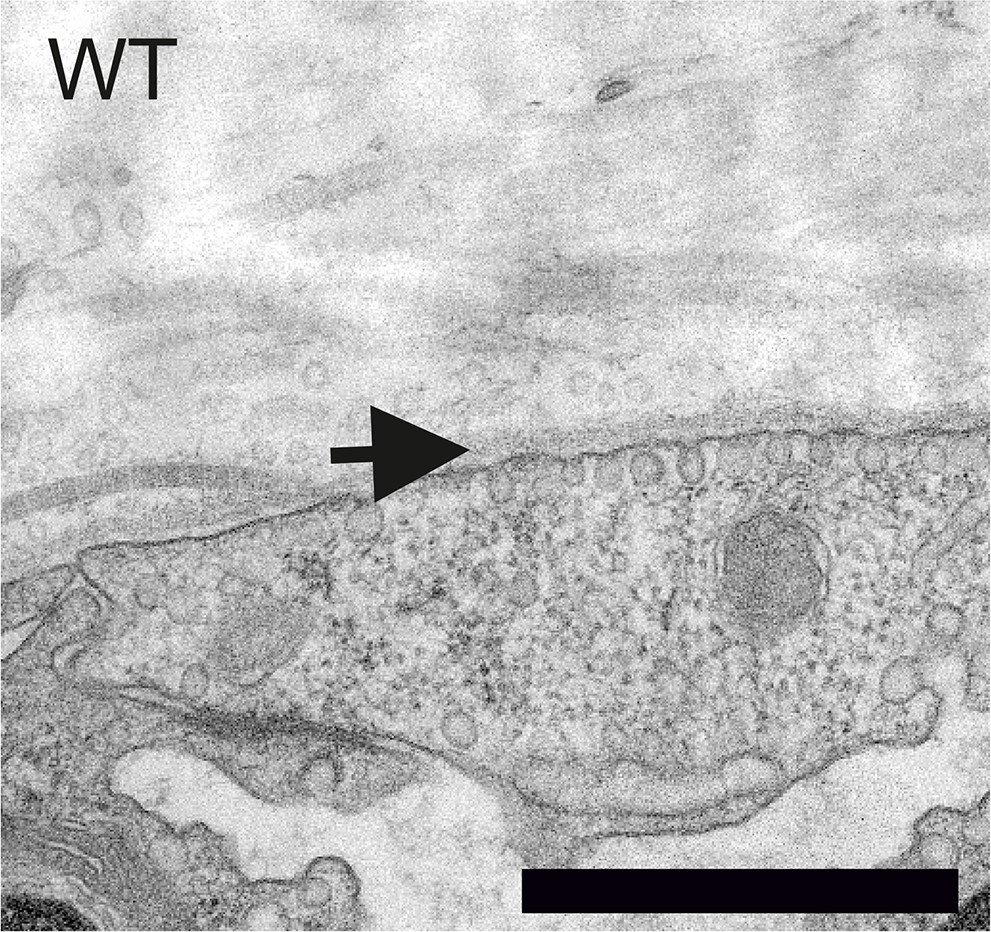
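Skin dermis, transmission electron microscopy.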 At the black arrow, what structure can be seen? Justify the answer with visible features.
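The arrow points to a thin dense layer along the outer surface of a cell. The cell beneath holds many small round vesicles.
Conclusion: basement membrane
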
